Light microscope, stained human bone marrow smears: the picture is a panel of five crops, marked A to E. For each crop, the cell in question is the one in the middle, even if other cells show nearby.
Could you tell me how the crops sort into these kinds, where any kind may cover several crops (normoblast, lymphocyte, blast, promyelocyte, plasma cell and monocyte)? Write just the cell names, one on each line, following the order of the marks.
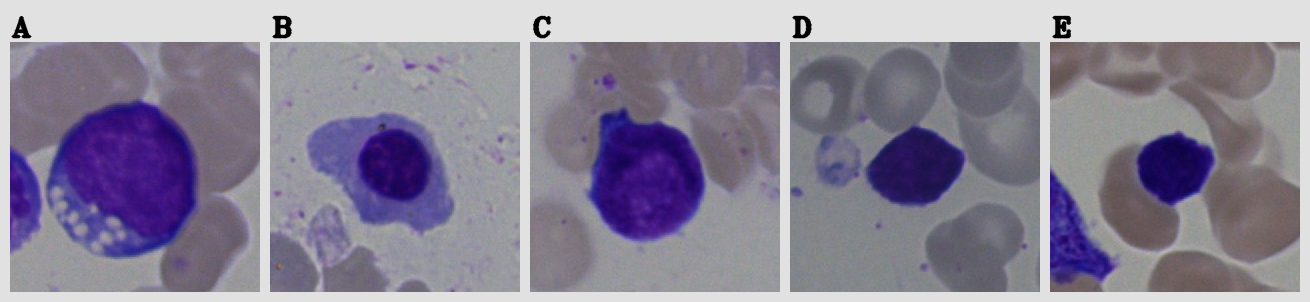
blast
normoblast
lymphocyte
lymphocyte
lymphocyte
